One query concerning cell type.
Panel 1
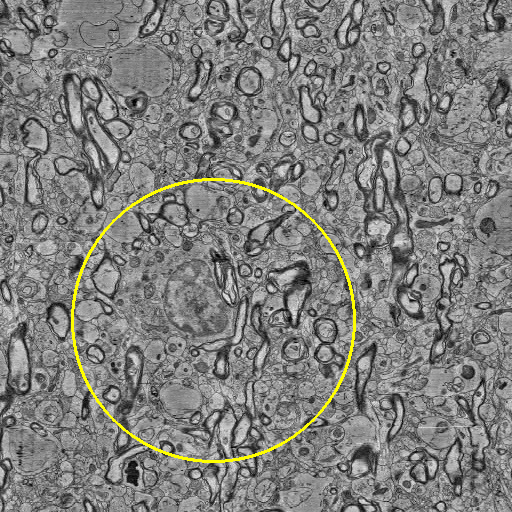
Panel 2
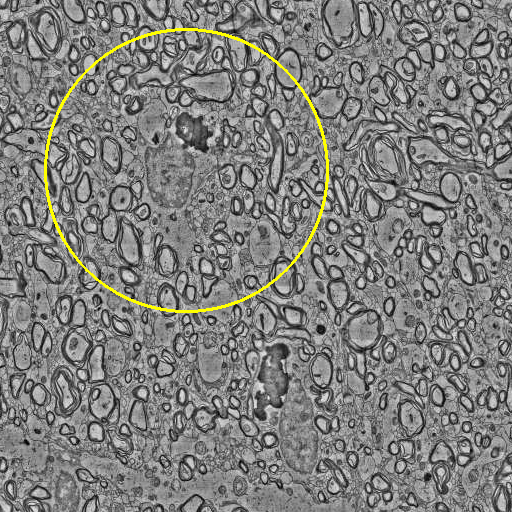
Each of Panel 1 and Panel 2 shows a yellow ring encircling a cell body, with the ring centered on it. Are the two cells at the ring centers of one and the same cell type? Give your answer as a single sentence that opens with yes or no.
Yes, the cell centered in Panel 1 and the one in Panel 2 share a type.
